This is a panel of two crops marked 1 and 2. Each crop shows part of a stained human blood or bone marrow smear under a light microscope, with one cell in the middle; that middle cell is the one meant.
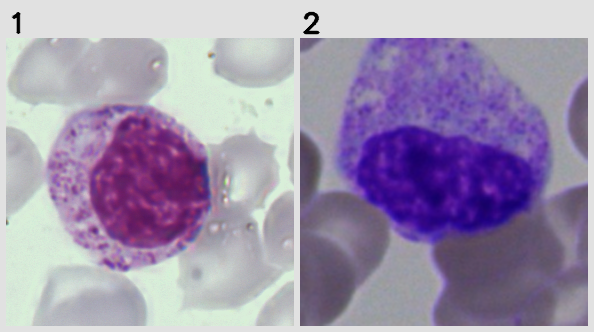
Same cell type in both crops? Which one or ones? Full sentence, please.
Yes, the two crops both show myelocytes.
